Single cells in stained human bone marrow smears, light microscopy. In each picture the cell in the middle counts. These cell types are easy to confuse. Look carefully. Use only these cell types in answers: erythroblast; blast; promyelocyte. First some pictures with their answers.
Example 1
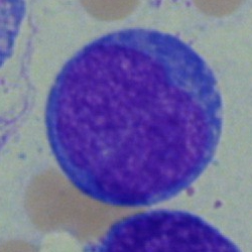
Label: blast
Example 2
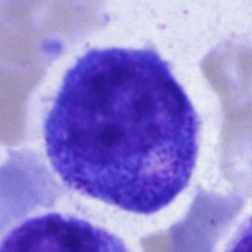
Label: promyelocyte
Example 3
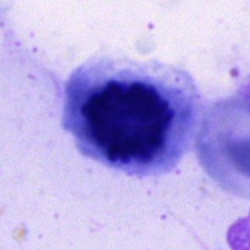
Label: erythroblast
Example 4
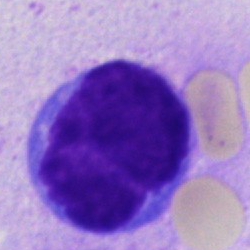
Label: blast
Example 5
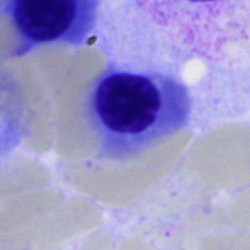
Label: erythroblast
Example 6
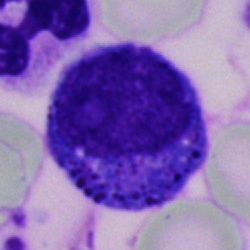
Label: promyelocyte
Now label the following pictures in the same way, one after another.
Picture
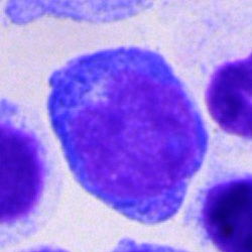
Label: blast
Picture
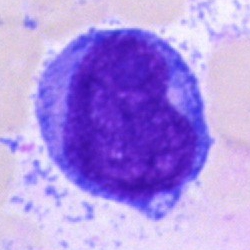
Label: blast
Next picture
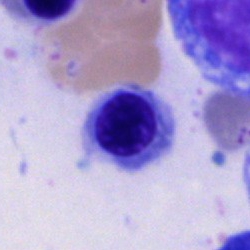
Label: erythroblast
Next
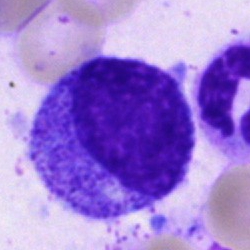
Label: promyelocyte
